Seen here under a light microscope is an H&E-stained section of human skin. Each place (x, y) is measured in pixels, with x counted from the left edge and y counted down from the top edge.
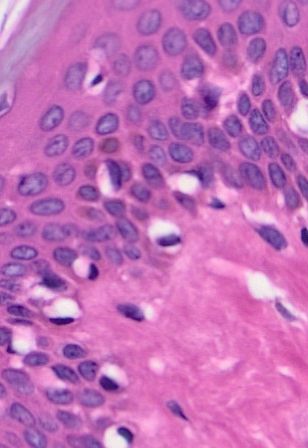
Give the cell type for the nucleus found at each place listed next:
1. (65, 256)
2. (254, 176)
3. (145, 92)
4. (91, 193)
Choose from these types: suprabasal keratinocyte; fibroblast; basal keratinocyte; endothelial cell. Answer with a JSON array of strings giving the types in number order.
["basal keratinocyte", "basal keratinocyte", "suprabasal keratinocyte", "basal keratinocyte"]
